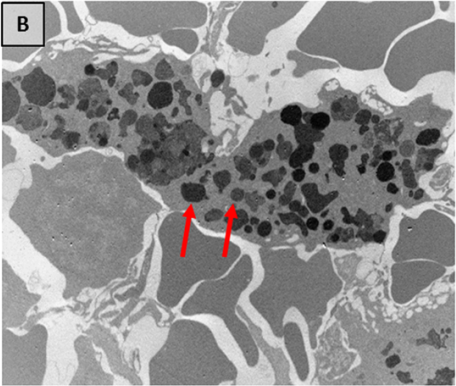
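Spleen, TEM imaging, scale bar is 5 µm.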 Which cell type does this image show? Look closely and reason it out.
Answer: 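A large cell whose cytoplasm is crowded with many dark, irregular inclusions. The cell lies among uniformly gray, anucleate profiles like red blood cells.
Answer: macrophages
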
